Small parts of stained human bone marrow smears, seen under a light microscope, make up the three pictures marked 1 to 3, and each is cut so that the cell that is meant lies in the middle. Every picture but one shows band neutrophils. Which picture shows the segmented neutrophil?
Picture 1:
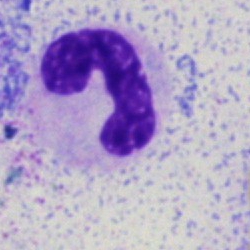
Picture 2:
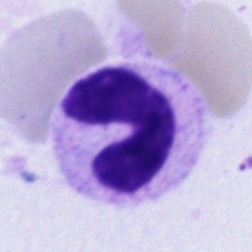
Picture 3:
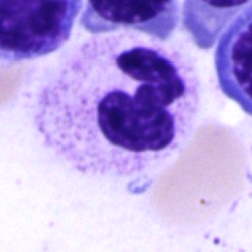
3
